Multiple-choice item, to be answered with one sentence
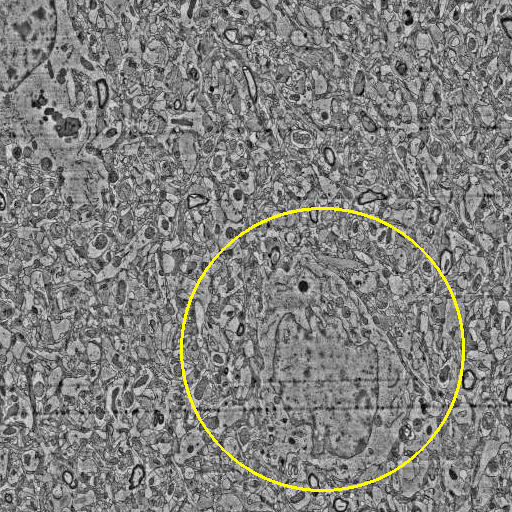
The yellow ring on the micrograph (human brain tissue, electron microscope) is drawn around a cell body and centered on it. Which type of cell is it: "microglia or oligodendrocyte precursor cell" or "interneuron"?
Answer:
The ring is centered on an interneuron.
